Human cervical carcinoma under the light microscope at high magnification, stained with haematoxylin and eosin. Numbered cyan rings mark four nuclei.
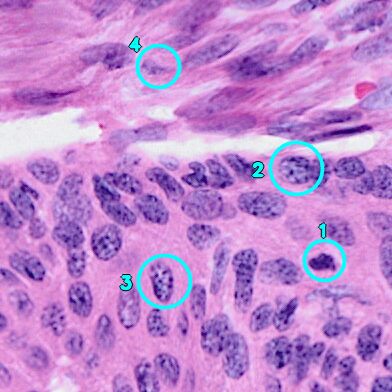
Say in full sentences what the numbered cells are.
Cell 1 is a lymphocyte. Cells 2 and 3 are squamous carcinoma cells. Cell 4 is a fibroblast.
